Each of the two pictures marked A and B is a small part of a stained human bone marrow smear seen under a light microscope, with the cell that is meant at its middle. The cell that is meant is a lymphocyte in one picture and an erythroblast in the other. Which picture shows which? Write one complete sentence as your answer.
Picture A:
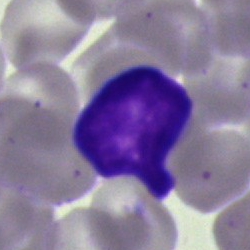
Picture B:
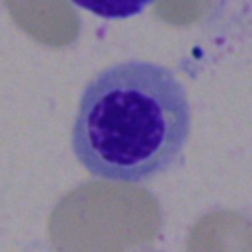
The cell in picture A is a lymphocyte, and the one in picture B is an erythroblast.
